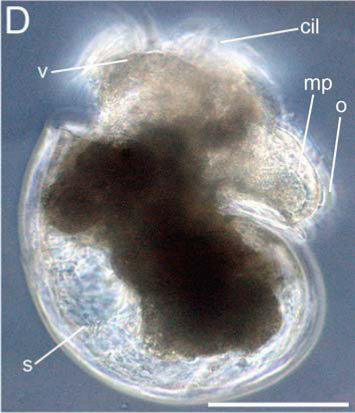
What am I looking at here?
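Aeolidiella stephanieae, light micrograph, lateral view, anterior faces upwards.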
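This is a hatched larva of a sea slug seen from the side, with its thin, transparent coiled shell enclosing most of the body. At the top, the velum spreads out with a fringe of cilia along its edge. A dark, dense mass of tissue fills the centre of the body within the shell. To one side the foot projects forward, and at its rear part a thin, clear plate, the operculum, sits attached. The shell wall is glassy and shows the tissue beneath it through its curve.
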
